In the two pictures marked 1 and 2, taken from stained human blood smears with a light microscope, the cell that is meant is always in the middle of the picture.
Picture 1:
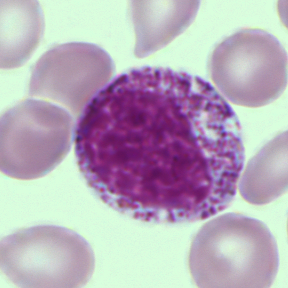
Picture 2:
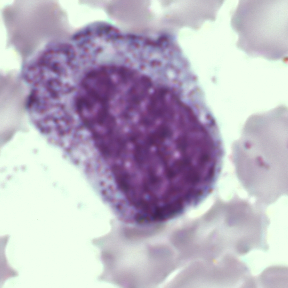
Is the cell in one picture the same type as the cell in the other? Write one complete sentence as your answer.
Yes, they are the same type: both are myelocytes.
